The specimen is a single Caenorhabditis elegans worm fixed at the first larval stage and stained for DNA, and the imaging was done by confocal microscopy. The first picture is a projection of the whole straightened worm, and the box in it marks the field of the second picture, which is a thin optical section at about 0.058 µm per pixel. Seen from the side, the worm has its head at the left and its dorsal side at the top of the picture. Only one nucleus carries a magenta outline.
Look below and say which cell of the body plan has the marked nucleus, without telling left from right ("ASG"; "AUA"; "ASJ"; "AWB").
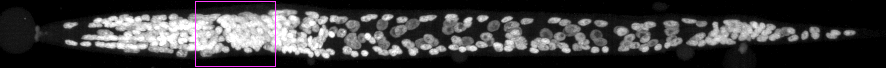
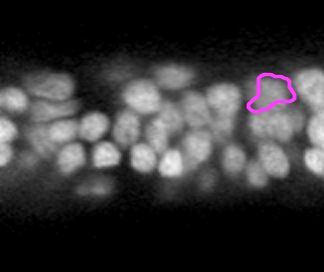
ASG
